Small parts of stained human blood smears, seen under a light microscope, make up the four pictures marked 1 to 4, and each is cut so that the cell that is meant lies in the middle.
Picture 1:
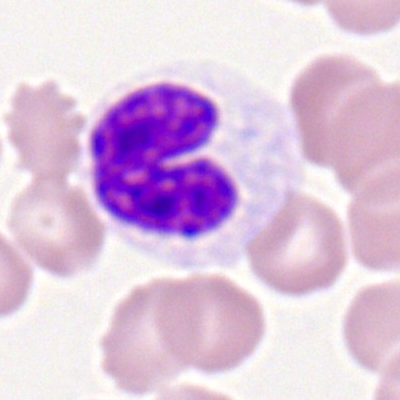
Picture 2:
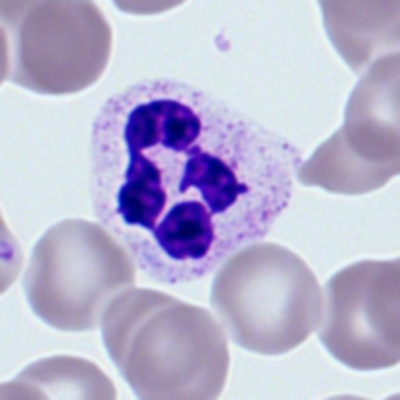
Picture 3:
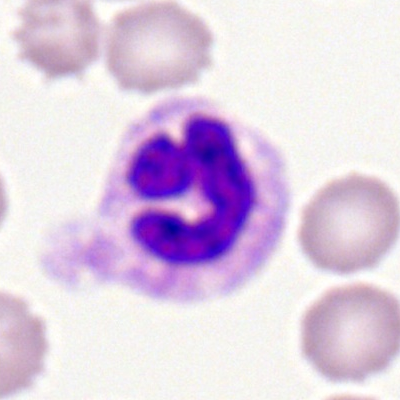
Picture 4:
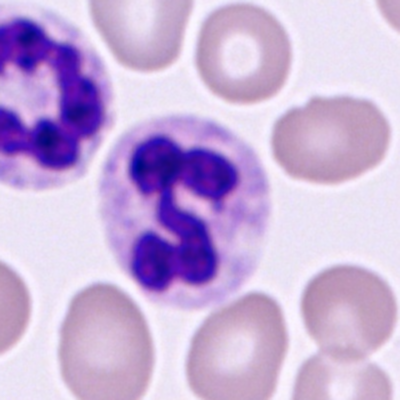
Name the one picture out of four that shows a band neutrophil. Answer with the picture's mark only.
1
